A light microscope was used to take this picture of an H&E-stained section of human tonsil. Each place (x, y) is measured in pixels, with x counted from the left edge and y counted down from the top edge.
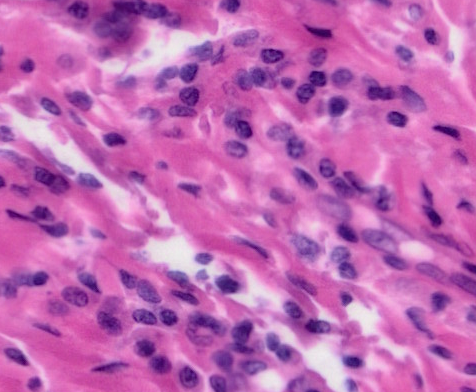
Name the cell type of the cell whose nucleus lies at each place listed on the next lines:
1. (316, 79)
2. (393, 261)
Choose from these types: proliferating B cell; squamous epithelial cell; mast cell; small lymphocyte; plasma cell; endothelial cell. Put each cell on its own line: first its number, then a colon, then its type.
1: plasma cell
2: endothelial cell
